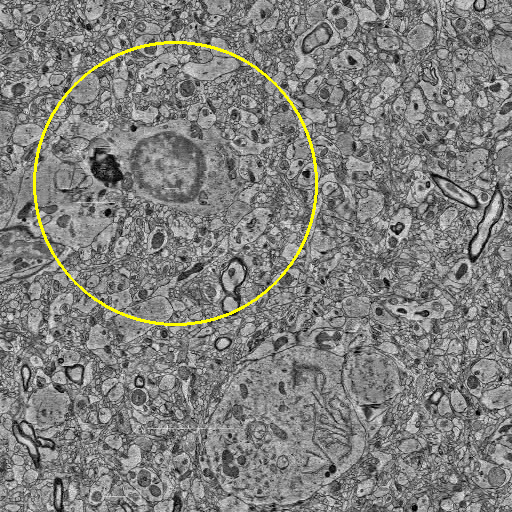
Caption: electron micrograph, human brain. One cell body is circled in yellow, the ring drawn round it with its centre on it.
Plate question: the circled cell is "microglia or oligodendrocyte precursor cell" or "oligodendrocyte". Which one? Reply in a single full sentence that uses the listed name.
The yellow ring on the plate is centred on an oligodendrocyte, going by the listed names.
